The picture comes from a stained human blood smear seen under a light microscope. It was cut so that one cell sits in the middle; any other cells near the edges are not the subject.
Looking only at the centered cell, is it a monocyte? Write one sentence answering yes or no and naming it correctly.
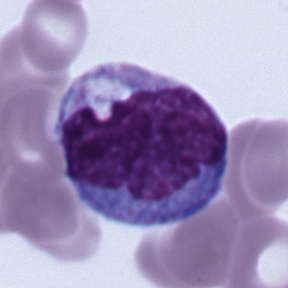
Yes, the middle cell is properly termed a monocyte.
